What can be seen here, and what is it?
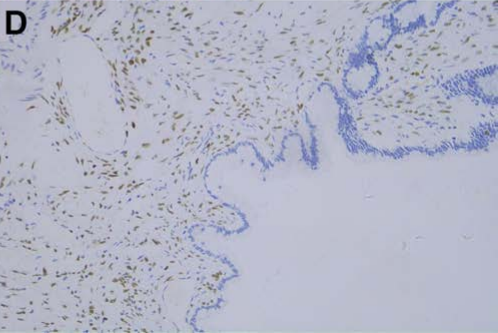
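Spindle-shaped stromal cells with elongated nuclei fill the tissue between gland-like spaces, and many of these nuclei are stained brown. The columnar epithelium lining the glands and cystic spaces at the right and bottom is counterstained blue without brown staining. Not every stromal nucleus is brown, so the staining is partial.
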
